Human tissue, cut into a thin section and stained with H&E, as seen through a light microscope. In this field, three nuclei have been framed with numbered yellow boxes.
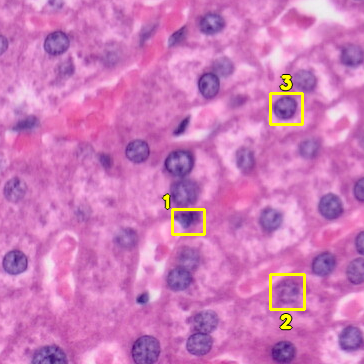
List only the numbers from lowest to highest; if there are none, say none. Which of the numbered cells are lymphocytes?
none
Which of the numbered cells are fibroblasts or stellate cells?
1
